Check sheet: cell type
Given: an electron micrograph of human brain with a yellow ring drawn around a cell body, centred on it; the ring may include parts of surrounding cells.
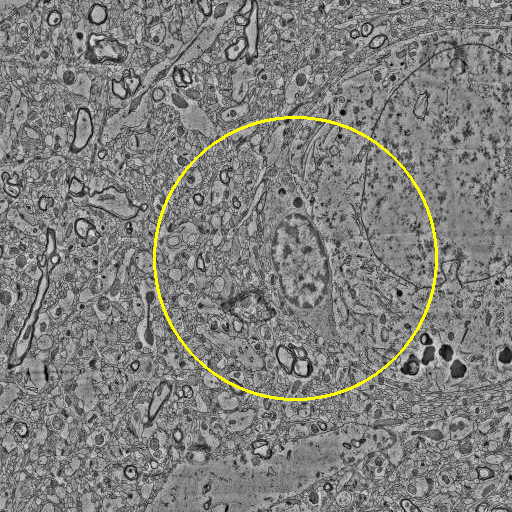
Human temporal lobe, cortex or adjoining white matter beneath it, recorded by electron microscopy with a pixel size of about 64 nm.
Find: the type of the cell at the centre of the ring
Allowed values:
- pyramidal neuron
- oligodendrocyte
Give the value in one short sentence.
Here the ringed cell is an oligodendrocyte.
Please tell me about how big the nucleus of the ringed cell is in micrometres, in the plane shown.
The nucleus appears roughly 6 by 3 micrometres in this plane.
